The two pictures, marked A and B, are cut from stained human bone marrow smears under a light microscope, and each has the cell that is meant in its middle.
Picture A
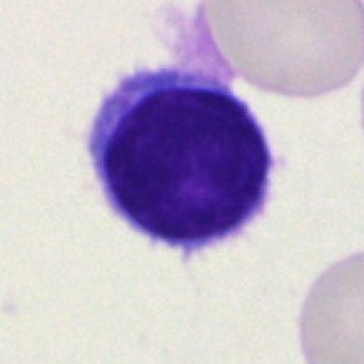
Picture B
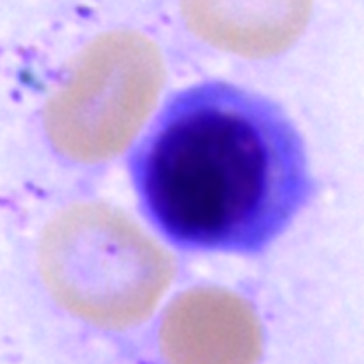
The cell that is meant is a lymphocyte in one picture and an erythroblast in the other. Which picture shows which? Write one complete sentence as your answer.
Picture A is of a lymphocyte, and picture B is of an erythroblast.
